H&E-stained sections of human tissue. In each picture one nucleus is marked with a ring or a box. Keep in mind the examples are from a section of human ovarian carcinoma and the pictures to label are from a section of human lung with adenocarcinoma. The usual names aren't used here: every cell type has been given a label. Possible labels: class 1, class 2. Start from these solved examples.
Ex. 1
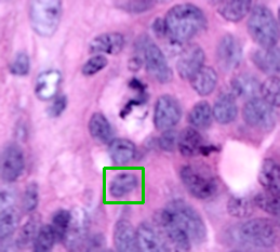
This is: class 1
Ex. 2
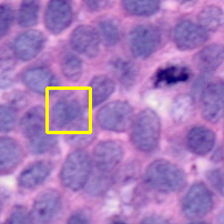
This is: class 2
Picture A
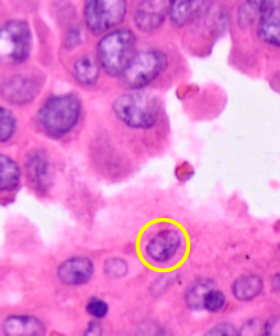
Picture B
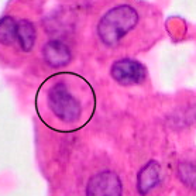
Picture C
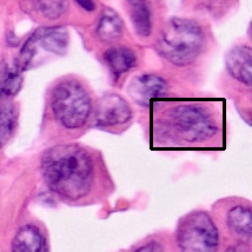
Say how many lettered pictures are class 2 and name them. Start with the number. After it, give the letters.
1, namely C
